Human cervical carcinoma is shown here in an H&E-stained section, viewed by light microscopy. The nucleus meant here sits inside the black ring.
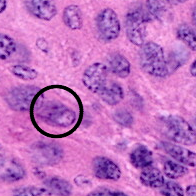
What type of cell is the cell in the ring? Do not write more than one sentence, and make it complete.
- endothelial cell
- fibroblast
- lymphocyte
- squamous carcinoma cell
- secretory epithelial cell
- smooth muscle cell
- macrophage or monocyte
In terms of identity, the cell in the ring is a squamous carcinoma cell.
